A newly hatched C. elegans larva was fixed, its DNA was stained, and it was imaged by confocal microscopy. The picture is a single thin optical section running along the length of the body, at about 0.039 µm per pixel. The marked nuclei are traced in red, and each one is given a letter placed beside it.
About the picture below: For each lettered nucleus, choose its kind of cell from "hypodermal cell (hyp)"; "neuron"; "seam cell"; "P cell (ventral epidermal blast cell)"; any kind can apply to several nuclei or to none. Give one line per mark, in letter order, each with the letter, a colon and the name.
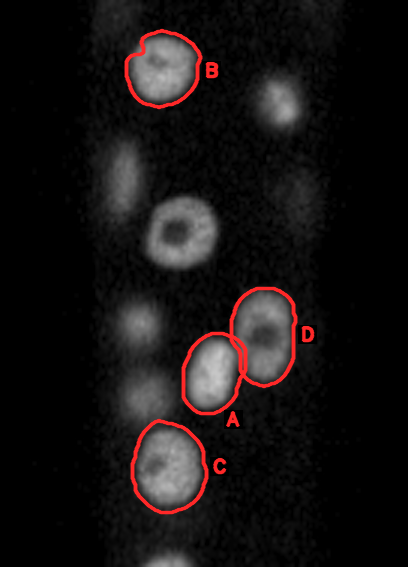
A: neuron
B: P cell (ventral epidermal blast cell)
C: P cell (ventral epidermal blast cell)
D: hypodermal cell (hyp)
